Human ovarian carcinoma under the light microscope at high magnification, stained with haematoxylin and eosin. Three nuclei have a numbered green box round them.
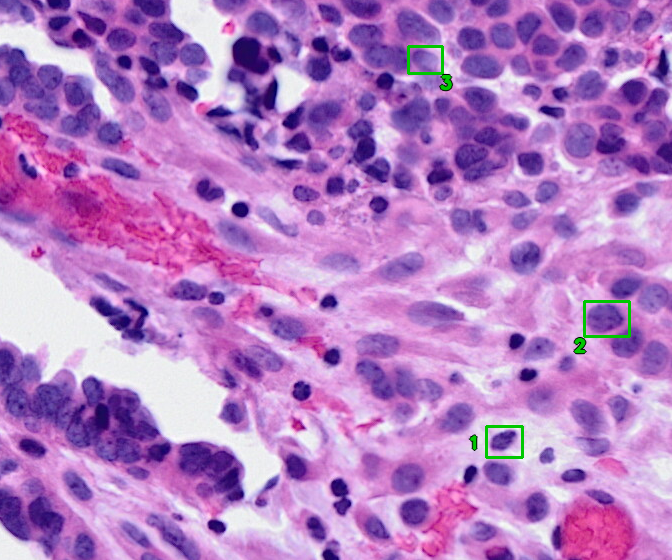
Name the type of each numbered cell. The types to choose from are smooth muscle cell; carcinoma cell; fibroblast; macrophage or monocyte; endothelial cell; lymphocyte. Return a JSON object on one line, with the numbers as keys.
{"1": "lymphocyte", "2": "carcinoma cell", "3": "carcinoma cell"}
